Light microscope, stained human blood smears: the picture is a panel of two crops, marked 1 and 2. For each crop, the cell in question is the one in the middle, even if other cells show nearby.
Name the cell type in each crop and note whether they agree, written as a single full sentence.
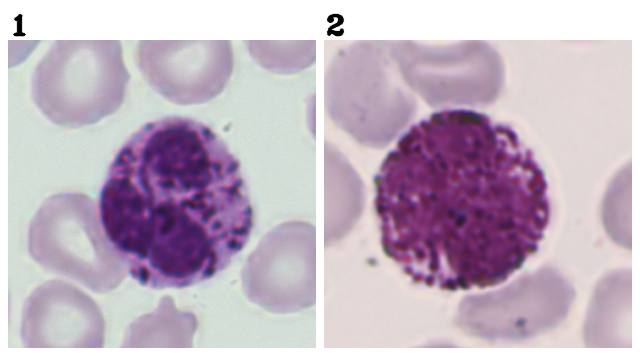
Yes, the pair of crops both show basophils.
